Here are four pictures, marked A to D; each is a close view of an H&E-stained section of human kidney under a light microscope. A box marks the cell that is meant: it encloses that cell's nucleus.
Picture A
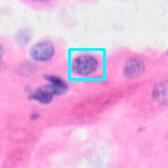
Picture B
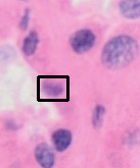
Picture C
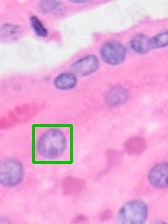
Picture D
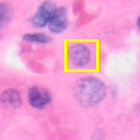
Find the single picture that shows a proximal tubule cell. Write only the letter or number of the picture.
C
